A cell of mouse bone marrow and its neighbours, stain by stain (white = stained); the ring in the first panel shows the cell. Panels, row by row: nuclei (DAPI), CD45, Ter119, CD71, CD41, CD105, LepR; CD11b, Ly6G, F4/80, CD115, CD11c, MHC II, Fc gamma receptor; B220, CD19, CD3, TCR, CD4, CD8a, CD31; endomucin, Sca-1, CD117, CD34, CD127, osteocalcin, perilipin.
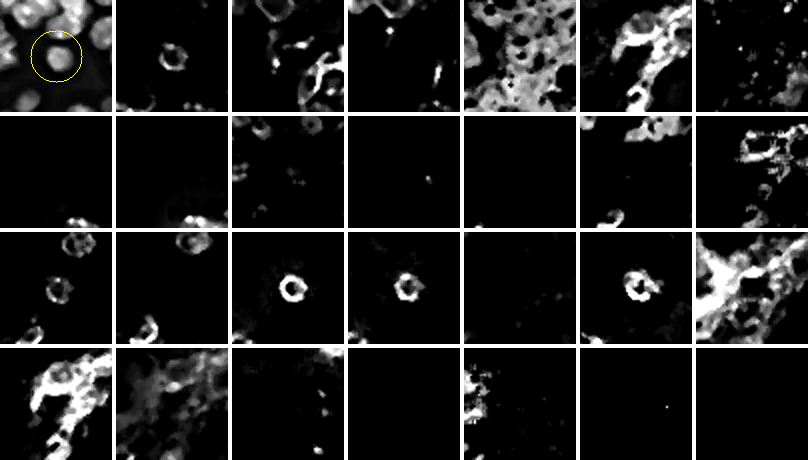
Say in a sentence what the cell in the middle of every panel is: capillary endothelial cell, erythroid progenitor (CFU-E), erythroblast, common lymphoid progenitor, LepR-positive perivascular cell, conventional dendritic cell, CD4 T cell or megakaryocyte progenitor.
This is a capillary endothelial cell.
